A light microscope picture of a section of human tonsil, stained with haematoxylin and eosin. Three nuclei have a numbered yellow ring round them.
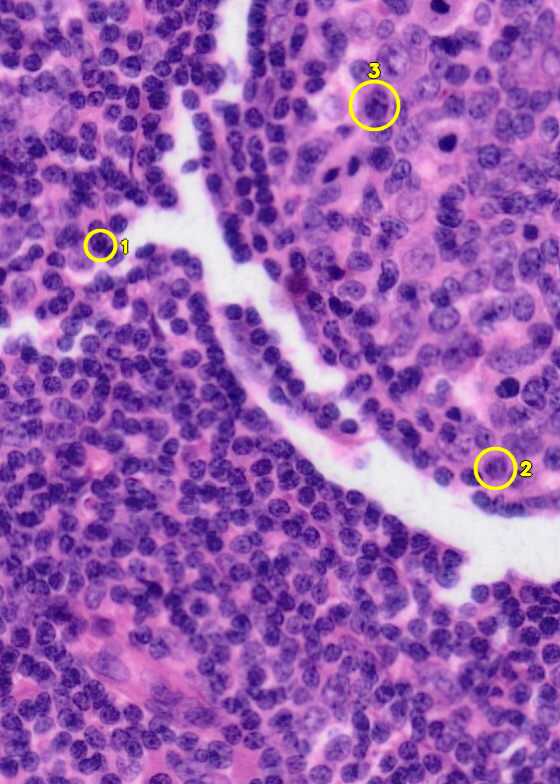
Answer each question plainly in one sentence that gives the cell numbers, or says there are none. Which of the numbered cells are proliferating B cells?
Cells 2 and 3 are recognised here as proliferating B cells.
